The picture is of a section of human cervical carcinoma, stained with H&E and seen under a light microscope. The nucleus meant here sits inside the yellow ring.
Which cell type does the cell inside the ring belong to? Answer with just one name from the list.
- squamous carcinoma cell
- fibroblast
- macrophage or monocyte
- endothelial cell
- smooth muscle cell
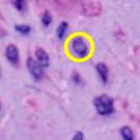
smooth muscle cell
